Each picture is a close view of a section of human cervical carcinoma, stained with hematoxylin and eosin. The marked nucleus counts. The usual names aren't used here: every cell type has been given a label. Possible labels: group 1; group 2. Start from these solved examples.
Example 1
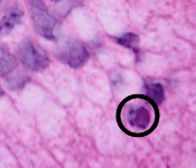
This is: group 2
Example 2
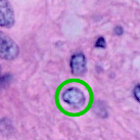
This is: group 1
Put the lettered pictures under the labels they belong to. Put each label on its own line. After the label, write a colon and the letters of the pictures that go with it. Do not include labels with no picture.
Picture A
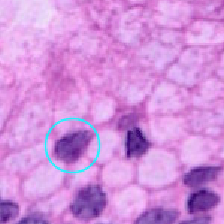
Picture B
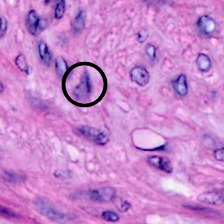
group 1: B
group 2: A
